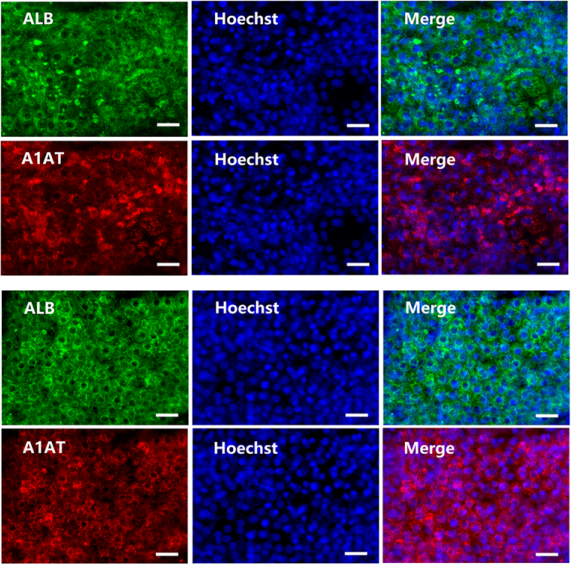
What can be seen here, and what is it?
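The green and red signals lie in the cytoplasm around the nuclei and outline many roughly polygonal cell bodies. Signal intensity varies from cell to cell, with scattered brighter cells among dimmer ones. In the merged images most nuclei are surrounded by a rim of cytoplasmic colour.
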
